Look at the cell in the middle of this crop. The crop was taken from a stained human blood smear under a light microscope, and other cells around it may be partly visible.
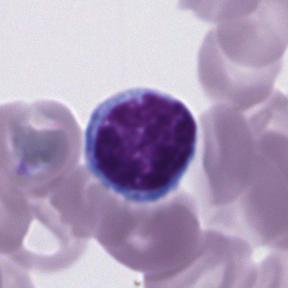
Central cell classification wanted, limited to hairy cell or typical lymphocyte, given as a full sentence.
The cell around which this crop is centred is a typical lymphocyte.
